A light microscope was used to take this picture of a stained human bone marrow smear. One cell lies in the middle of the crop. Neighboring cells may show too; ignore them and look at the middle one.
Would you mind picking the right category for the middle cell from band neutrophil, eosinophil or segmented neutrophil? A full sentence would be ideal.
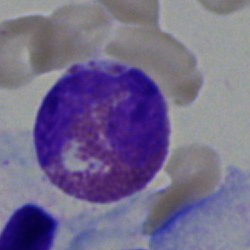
The cell at the central position in this crop is an eosinophil.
